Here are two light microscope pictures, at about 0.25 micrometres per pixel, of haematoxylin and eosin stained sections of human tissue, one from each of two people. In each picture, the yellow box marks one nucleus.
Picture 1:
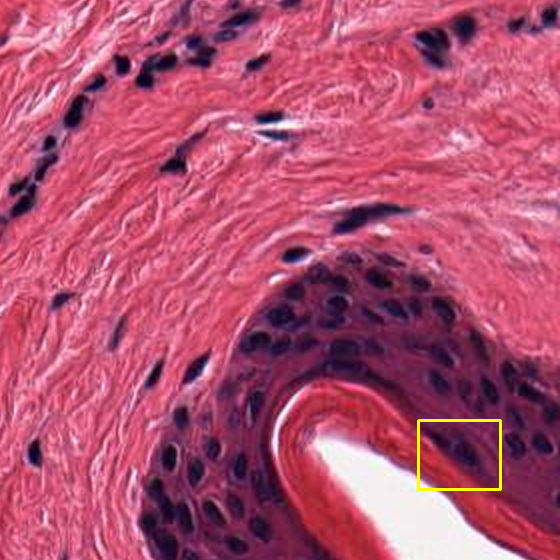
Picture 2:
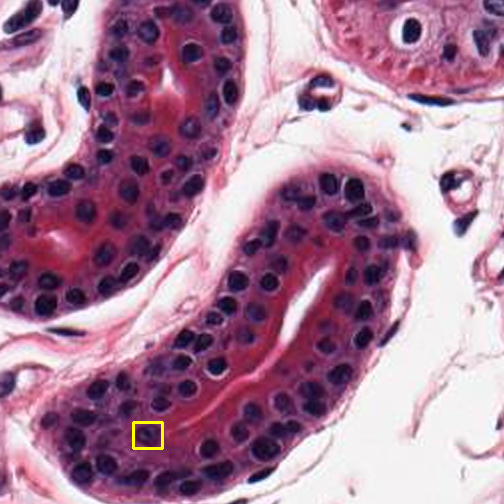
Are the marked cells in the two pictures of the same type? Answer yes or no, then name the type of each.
No, the first is a keratinocyte and the second a sweat gland cell.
